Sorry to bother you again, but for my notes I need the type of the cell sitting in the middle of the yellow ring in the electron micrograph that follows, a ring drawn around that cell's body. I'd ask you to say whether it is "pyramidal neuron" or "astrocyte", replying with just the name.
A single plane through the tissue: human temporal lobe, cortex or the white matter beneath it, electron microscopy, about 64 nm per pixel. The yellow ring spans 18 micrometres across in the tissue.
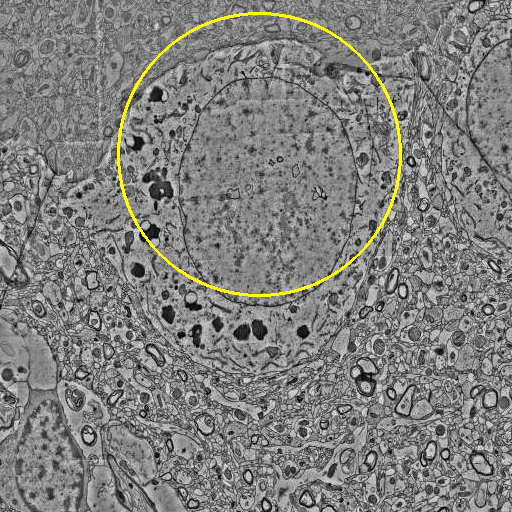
pyramidal neuron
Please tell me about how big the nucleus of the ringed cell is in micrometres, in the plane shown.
In this plane the nucleus spans approximately 15 by 12 micrometers.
